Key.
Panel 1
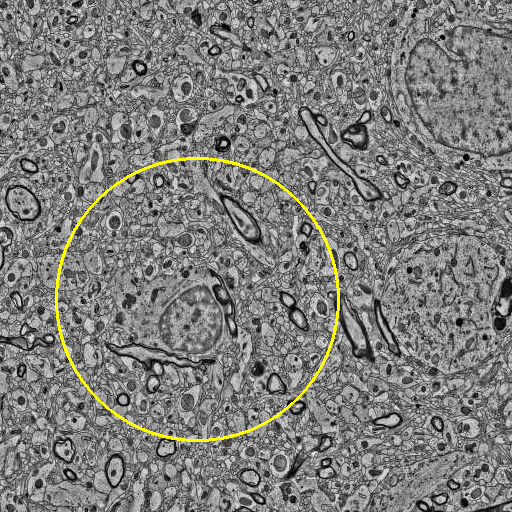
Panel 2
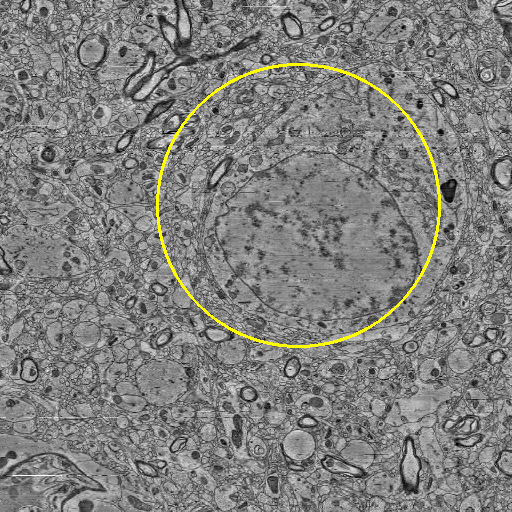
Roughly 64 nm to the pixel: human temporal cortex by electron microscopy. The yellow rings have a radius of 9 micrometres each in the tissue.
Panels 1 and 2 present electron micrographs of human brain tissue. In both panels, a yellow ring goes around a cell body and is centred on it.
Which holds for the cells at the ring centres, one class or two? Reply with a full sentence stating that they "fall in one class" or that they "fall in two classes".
Taken together, the ring-centre cells of the two panels fall in two classes.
